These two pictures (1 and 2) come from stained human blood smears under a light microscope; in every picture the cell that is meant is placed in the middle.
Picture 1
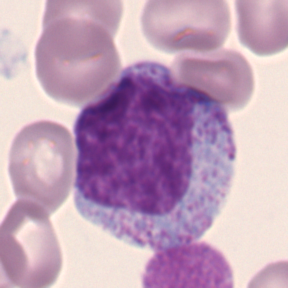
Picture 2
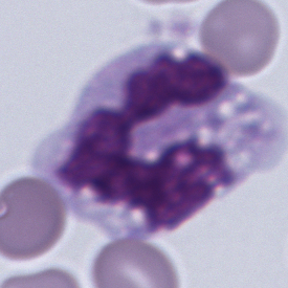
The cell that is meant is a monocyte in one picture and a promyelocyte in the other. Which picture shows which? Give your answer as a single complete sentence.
In picture 1 the cell is a promyelocyte; in picture 2, a monocyte.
